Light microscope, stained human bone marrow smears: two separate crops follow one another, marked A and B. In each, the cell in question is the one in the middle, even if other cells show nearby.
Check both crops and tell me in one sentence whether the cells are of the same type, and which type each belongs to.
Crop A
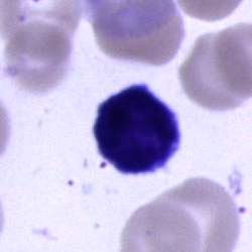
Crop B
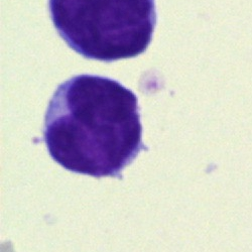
Yes, both crops show a cell each, and these are lymphocytes.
